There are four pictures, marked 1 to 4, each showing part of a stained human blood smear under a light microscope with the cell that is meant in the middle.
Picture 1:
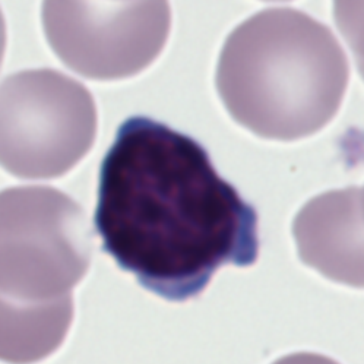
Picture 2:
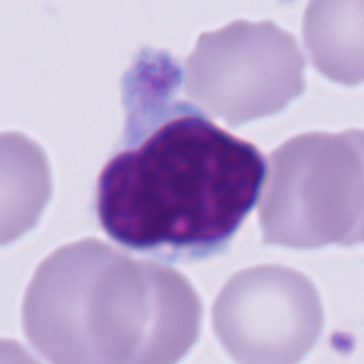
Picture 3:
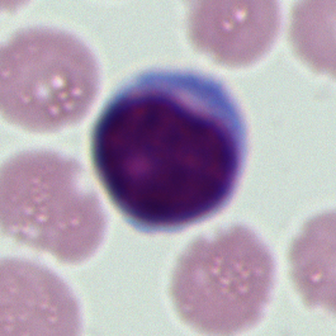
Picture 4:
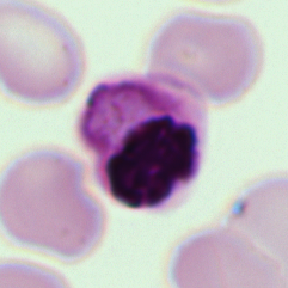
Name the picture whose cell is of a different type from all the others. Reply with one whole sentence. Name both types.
All pictures except 4 show typical lymphocytes; picture 4 shows a normoblast.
